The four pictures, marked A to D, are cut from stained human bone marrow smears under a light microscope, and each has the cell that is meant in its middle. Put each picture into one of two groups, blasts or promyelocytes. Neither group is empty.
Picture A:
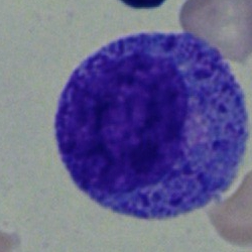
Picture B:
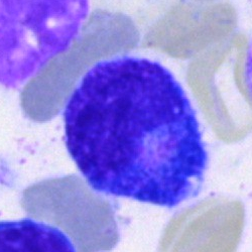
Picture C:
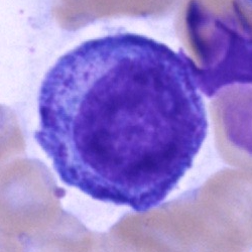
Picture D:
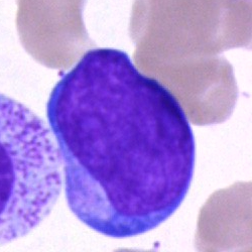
A: promyelocyte
B: promyelocyte
C: promyelocyte
D: blast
